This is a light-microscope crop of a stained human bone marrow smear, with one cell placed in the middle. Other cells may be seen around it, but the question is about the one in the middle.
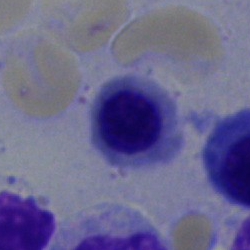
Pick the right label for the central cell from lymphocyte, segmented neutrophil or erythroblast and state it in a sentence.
Whatever else lies nearby, the middle cell is an erythroblast.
